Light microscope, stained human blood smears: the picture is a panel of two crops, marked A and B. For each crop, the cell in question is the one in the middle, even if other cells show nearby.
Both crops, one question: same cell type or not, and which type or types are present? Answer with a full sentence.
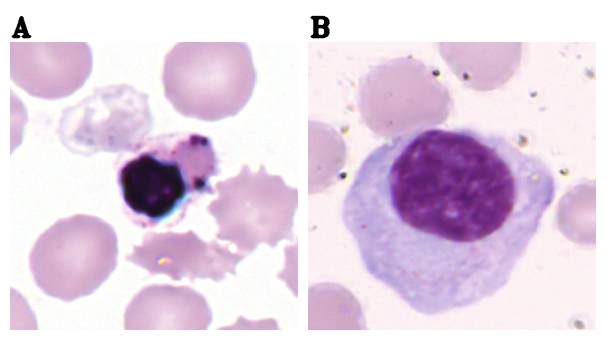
No, a plasma cell is in crop B, and a normoblast is in crop A.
